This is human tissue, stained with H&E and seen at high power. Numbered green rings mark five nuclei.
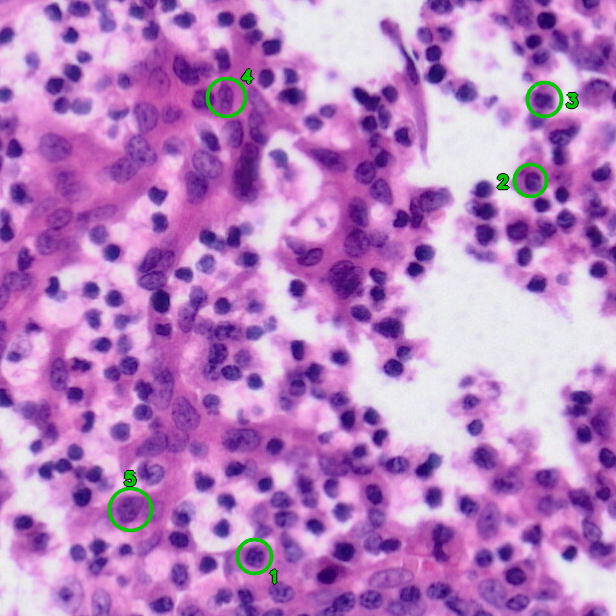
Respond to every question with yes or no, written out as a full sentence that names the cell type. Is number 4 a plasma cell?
No, cell 4 is not a plasma cell at all but a squamous epithelial cell.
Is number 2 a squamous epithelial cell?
No, the cell labelled 2 is a plasma cell and not a squamous epithelial cell.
